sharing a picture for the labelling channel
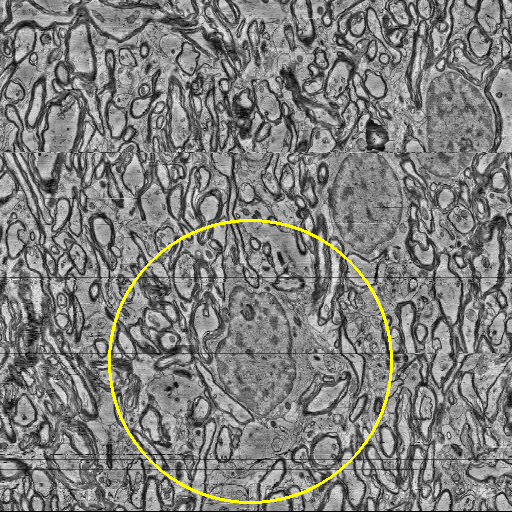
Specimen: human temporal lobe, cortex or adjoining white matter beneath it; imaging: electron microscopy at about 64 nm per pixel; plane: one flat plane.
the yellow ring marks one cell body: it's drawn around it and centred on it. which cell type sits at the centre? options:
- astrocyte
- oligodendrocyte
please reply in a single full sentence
In the picture, the cell at the ring's centre is an oligodendrocyte, going by the list.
